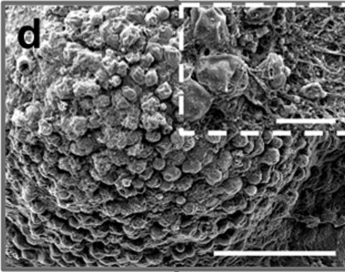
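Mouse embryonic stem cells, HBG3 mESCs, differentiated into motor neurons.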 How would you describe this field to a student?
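Scanning electron view of the surface of an embryoid body, a compact aggregate made of densely packed rounded cells that give it a cobbled surface. The enlarged inset shows a few of these rounded cells at higher magnification, lying on a rougher, fibrous-looking background.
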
